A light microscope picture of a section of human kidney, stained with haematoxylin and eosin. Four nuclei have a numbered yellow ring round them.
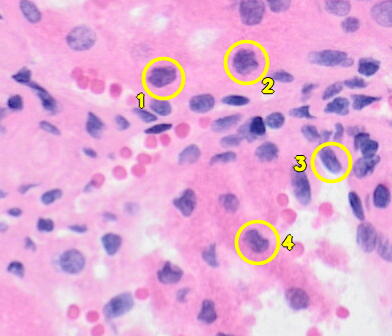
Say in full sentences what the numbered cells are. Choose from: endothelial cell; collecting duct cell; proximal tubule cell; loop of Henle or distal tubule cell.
Cells 1, 2 and 4 are proximal tubule cells. Cell 3 is an endothelial cell.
